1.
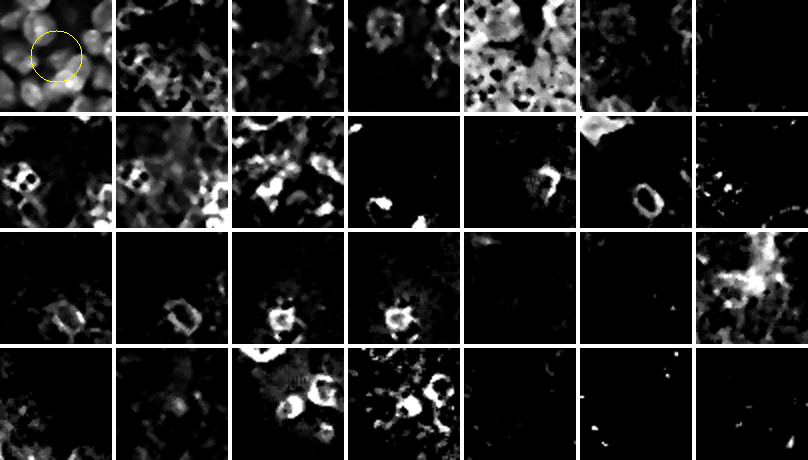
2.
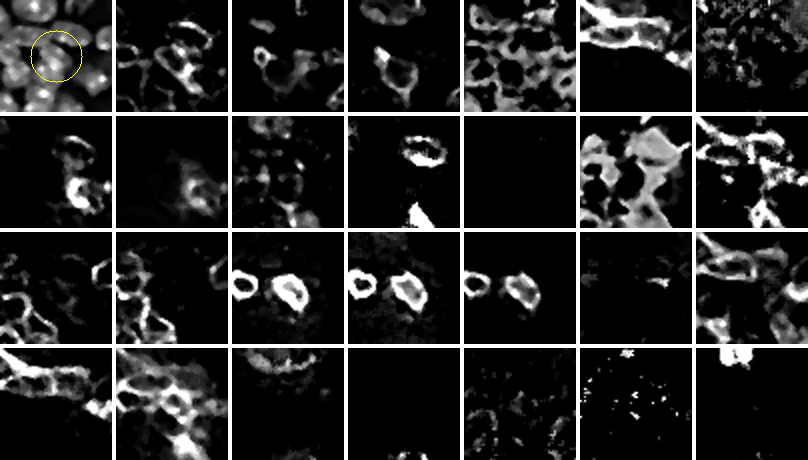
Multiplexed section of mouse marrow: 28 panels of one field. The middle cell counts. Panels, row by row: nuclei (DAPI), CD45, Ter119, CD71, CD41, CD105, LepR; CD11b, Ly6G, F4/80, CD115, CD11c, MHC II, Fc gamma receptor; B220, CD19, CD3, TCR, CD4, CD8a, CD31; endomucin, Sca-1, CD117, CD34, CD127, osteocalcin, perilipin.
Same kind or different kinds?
Different: the first is a megakaryocyte progenitor, the second a CD4 T cell.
